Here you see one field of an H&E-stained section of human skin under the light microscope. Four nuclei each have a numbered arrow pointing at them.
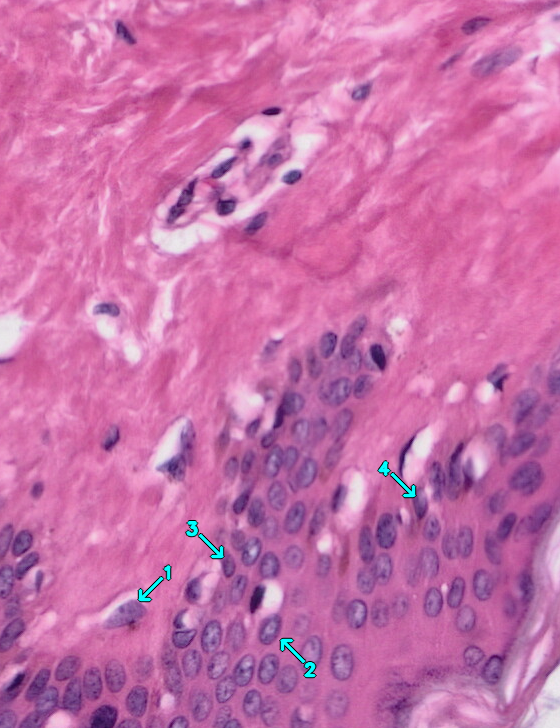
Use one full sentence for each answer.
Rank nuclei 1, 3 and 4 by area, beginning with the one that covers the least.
From smallest to largest, the order is 3, 4, 1.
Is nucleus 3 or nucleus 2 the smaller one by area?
Number 3 is smaller, since number 2 takes up about 1.5 times as much area.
